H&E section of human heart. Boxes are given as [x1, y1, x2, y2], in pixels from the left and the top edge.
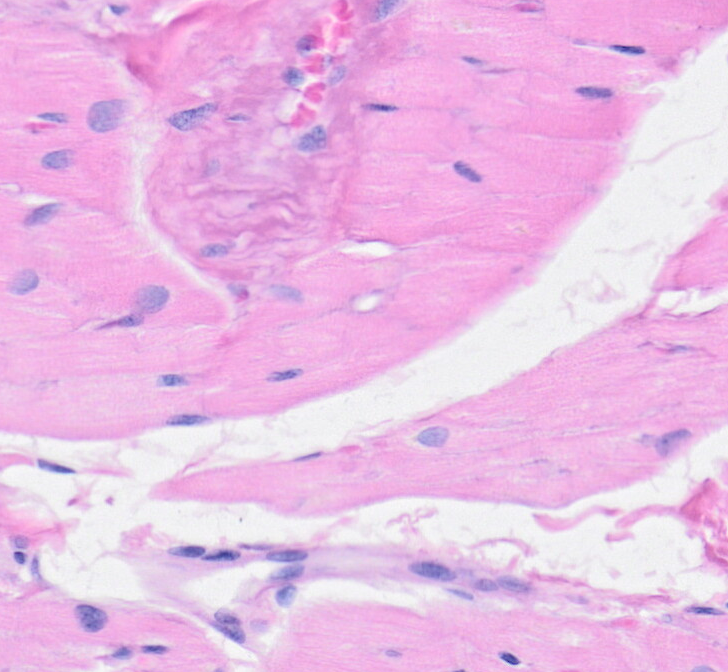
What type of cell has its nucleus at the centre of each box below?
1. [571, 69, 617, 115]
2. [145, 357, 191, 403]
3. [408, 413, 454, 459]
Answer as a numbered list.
1. endothelial cell
2. endothelial cell
3. cardiomyocyte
